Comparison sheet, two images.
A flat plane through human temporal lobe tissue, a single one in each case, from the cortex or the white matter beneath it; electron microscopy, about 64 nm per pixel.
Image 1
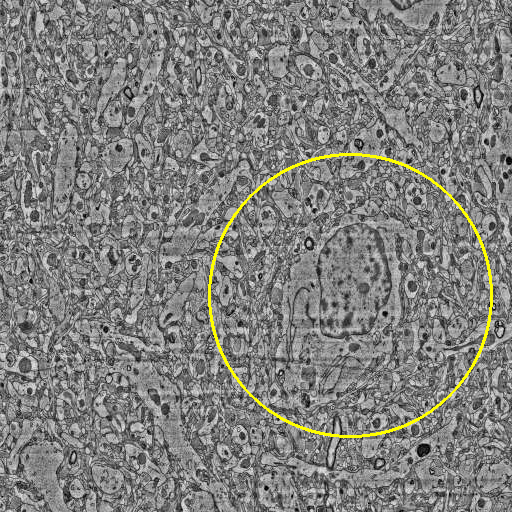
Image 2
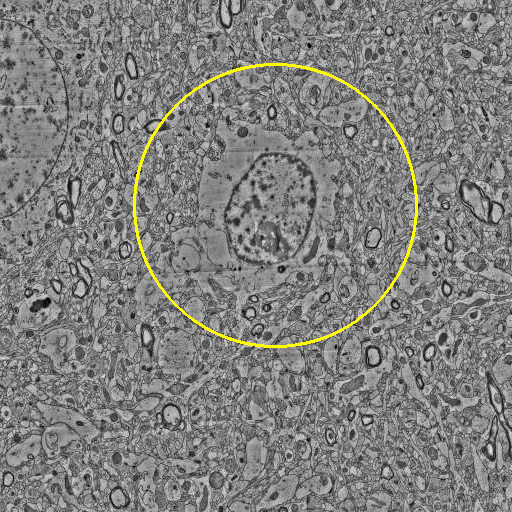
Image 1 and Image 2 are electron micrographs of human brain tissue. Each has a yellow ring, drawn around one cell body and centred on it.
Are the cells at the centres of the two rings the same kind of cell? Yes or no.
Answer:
yes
